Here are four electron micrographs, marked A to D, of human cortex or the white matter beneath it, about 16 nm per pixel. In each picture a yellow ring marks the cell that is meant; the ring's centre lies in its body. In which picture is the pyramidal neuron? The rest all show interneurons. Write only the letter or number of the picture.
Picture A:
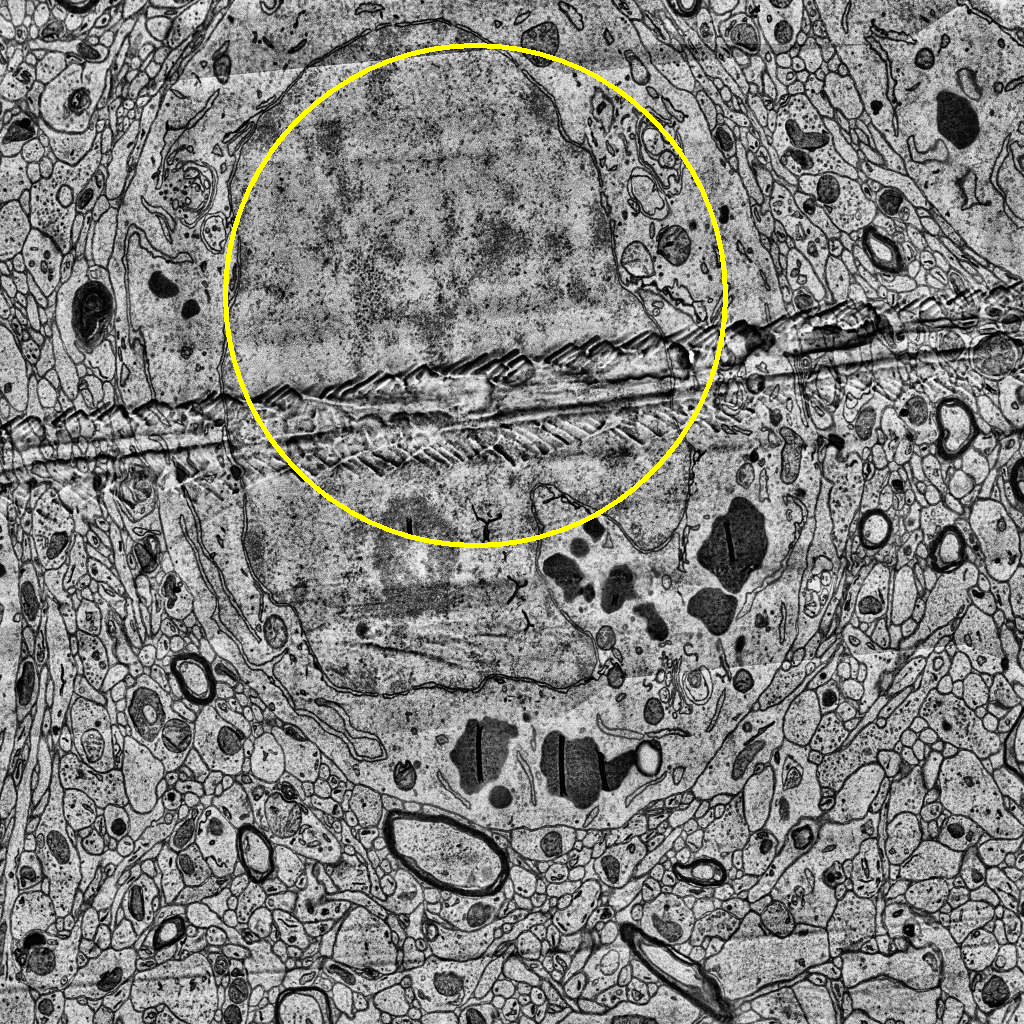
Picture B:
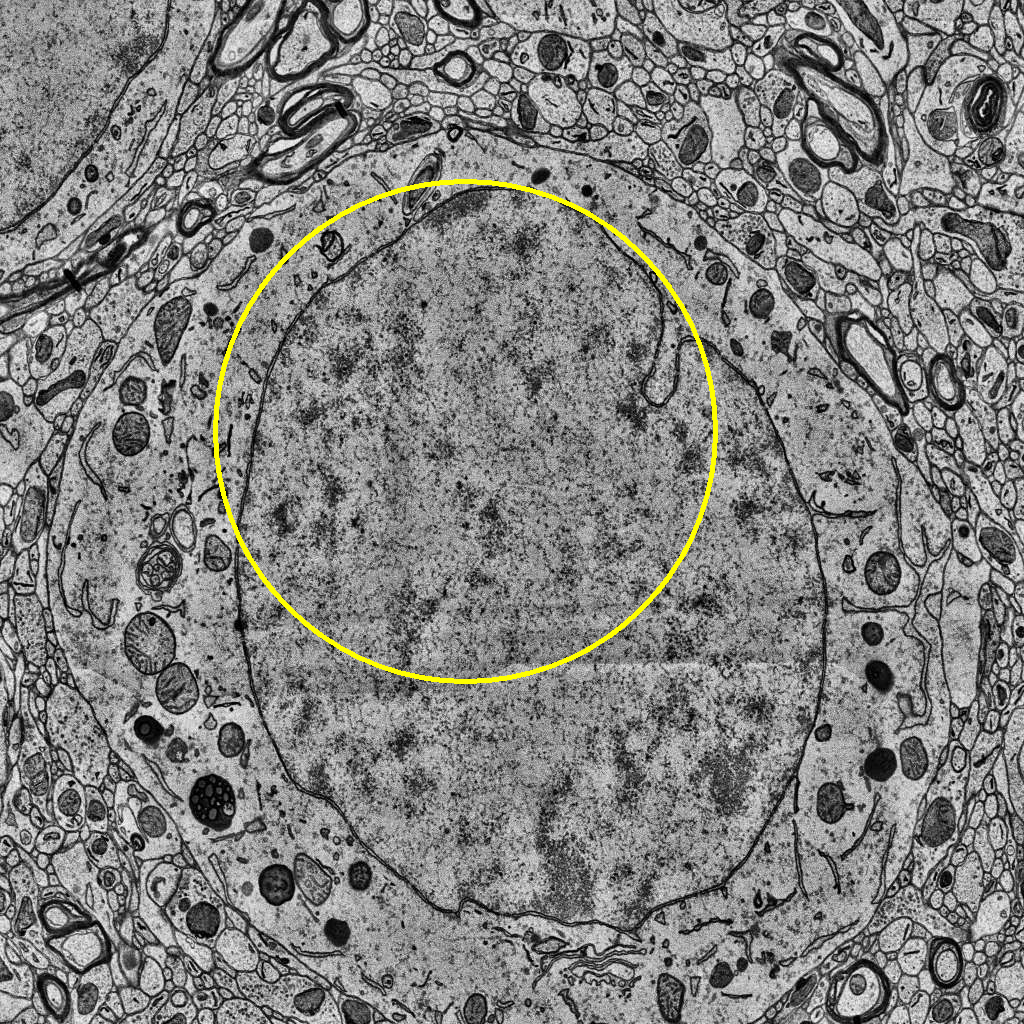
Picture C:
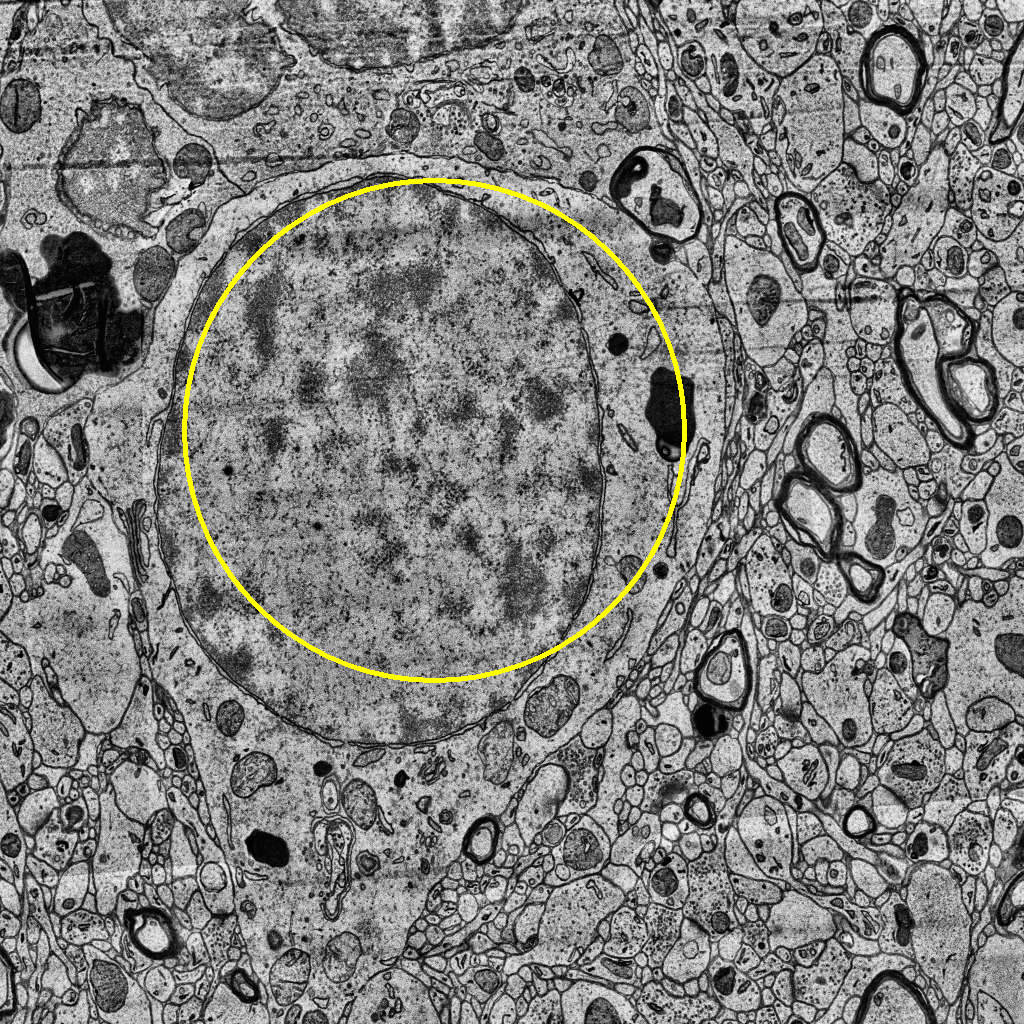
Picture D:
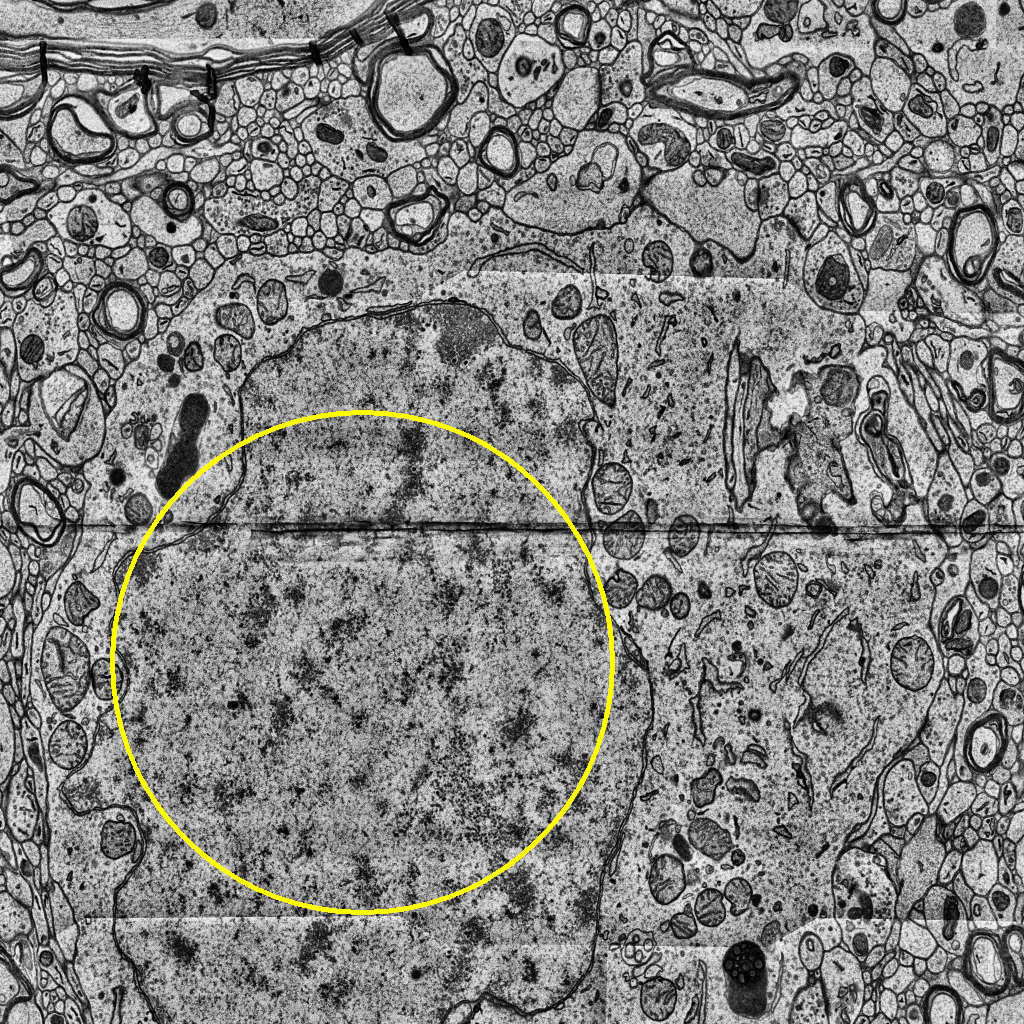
B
